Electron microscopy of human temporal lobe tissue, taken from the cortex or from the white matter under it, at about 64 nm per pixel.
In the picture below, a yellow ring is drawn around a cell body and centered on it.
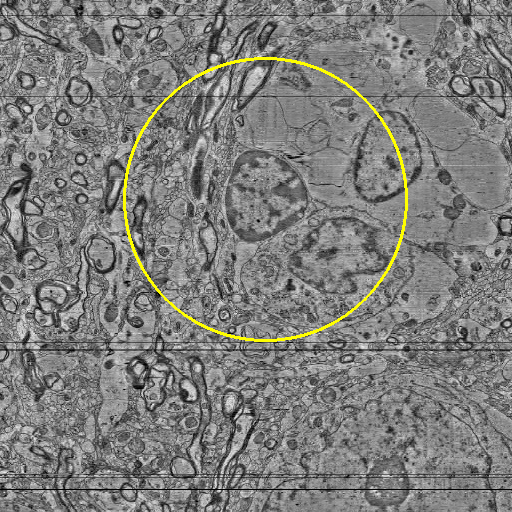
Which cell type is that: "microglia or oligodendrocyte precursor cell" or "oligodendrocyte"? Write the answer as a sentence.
The cell centered in the ring is a microglial cell or oligodendrocyte precursor cell.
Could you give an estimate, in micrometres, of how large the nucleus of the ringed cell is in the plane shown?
The nucleus appears about 5 micrometres across in this plane.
